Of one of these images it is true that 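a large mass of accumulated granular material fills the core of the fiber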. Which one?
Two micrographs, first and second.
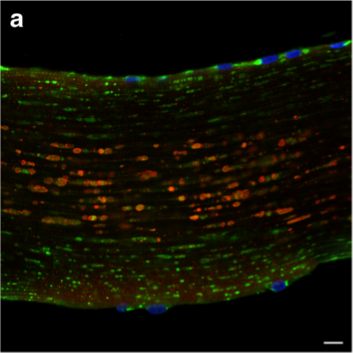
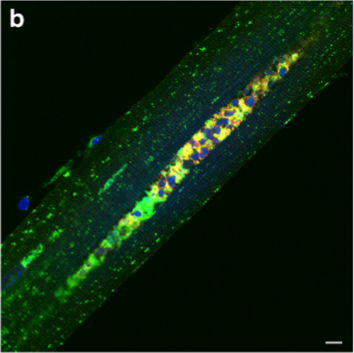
The second image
